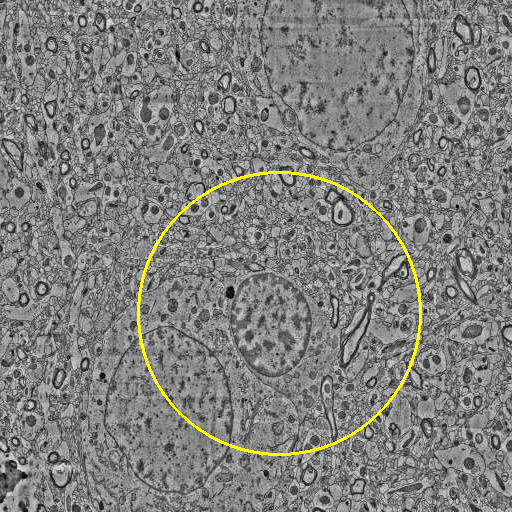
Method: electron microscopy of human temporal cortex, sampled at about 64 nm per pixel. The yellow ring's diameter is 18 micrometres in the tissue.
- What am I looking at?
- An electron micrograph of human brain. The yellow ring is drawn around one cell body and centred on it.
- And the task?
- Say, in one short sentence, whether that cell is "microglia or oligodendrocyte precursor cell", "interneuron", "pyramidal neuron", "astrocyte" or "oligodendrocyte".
The cell in the middle of the ring is an oligodendrocyte.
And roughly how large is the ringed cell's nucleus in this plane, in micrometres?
The ringed cell's nucleus is about 6 micrometres long and 5 micrometres wide in this plane.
